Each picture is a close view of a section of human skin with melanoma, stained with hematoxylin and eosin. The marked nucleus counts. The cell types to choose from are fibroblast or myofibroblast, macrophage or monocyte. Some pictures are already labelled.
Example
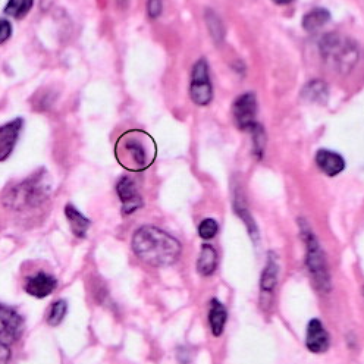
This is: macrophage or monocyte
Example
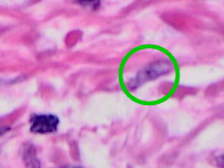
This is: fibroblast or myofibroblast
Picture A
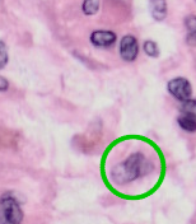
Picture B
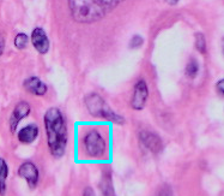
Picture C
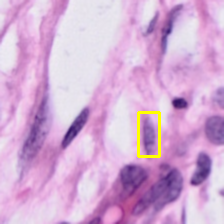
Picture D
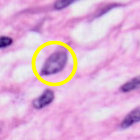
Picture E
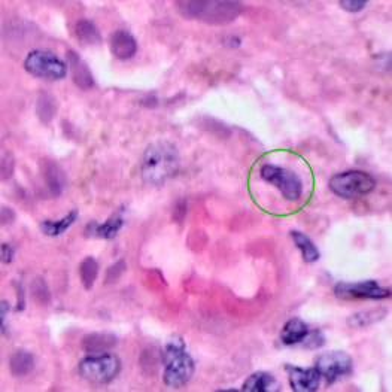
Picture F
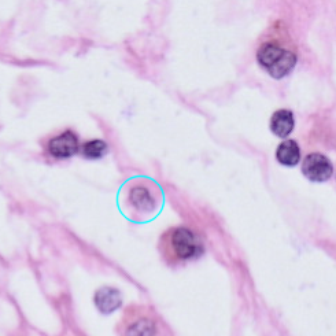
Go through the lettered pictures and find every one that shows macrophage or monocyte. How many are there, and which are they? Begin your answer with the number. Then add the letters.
5: A, B, C, E, F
